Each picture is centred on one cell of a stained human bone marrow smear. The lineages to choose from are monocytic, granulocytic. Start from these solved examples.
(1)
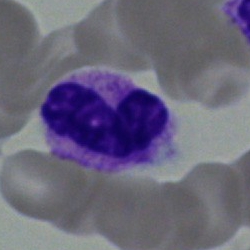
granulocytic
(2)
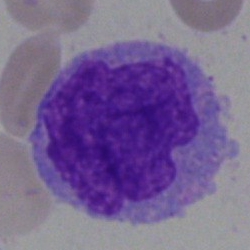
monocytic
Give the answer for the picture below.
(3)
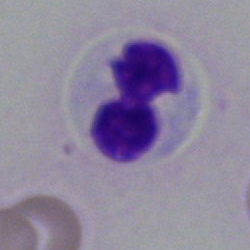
granulocytic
